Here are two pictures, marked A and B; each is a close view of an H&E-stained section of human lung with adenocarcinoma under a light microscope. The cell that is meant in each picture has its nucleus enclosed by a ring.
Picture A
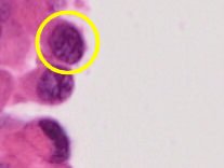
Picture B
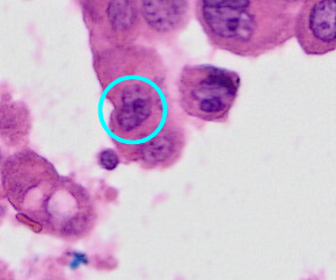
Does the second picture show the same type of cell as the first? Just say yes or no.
yes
